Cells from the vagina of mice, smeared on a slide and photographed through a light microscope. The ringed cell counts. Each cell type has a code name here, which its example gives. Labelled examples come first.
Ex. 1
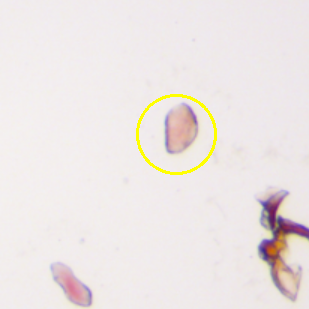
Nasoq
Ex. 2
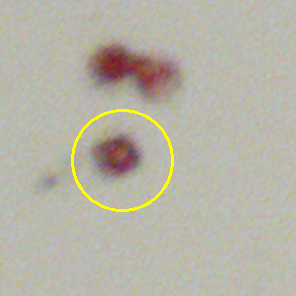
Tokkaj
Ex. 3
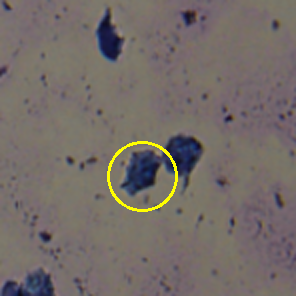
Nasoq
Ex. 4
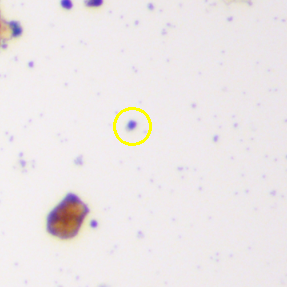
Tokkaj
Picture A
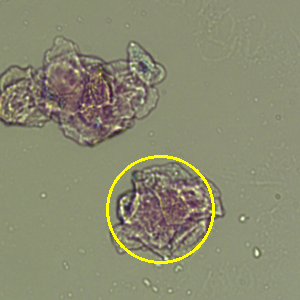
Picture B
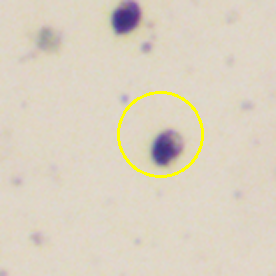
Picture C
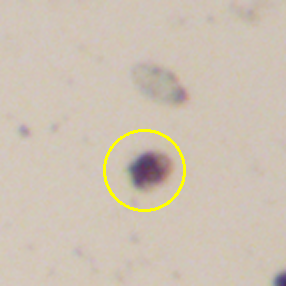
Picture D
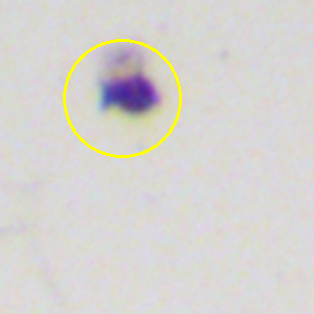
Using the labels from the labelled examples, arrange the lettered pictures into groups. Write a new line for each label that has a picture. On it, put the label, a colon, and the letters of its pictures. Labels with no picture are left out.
Nasoq: A
Tokkaj: B, C, D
